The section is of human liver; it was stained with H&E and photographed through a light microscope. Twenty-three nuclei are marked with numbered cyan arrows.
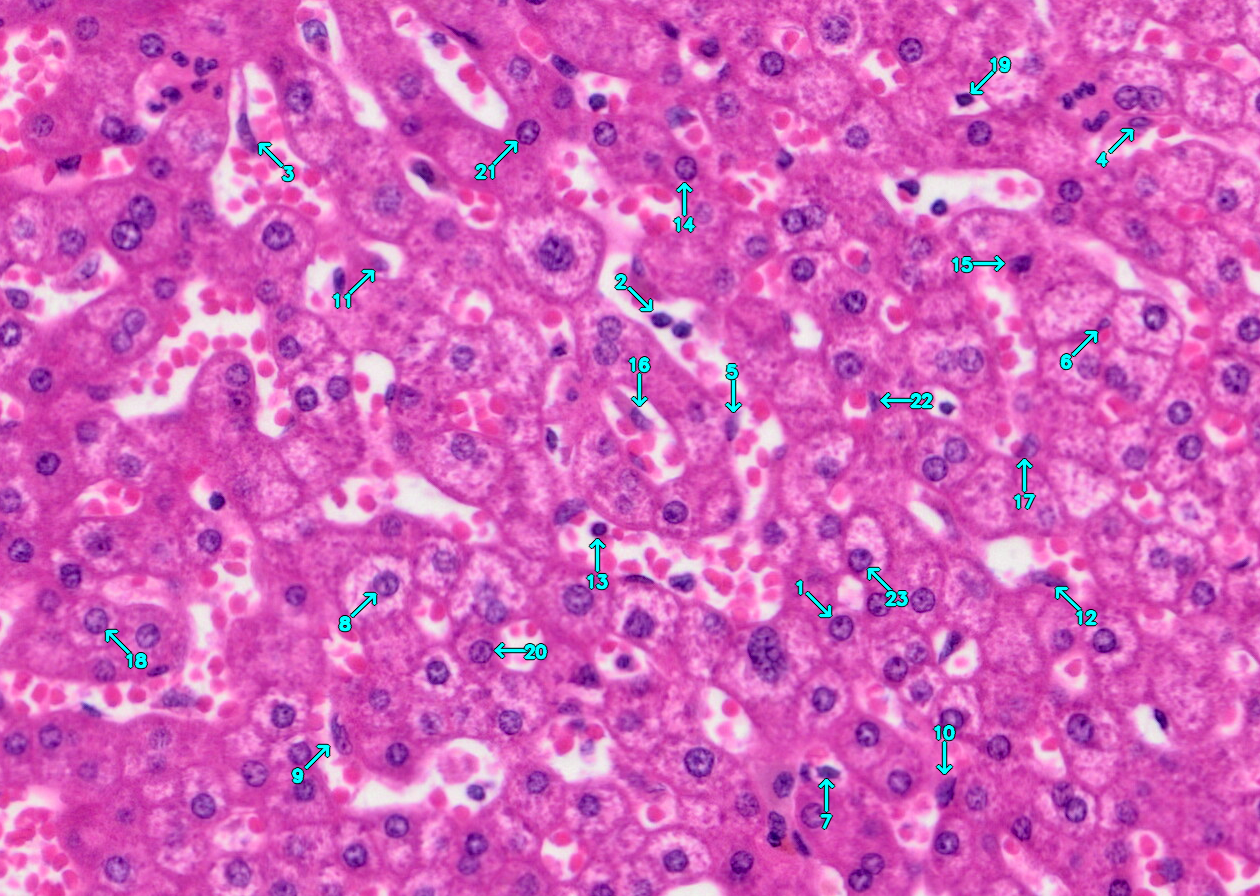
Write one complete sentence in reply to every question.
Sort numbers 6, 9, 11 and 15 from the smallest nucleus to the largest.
The order from the smallest nucleus to the largest is 6, 11, 15, 9.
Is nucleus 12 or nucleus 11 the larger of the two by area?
Of the two, number 12 is bigger and takes up about 2 times the area of number 11.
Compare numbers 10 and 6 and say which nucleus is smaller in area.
The smaller nucleus is 6, and 10 covers roughly 3 times its area.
